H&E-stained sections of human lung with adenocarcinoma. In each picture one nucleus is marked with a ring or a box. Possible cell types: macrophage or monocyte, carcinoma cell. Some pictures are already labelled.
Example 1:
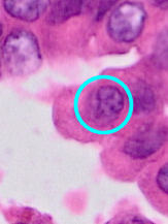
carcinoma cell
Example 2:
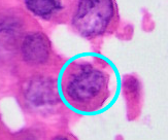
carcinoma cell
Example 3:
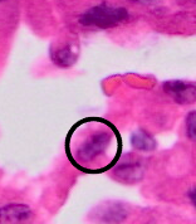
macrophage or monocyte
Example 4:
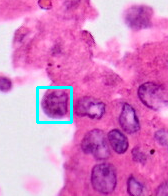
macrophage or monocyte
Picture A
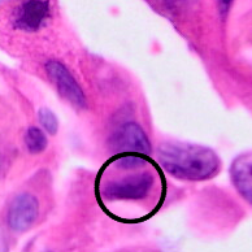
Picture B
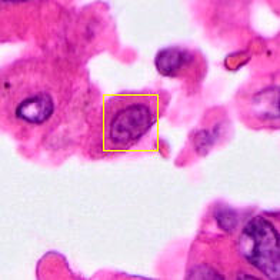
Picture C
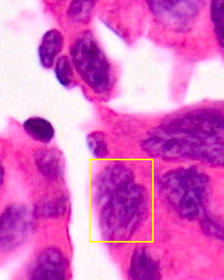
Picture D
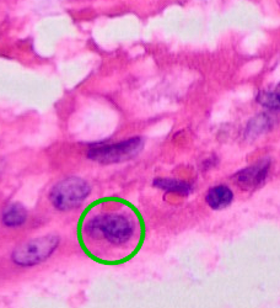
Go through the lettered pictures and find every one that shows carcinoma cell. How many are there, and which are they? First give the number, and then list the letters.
2: A, C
